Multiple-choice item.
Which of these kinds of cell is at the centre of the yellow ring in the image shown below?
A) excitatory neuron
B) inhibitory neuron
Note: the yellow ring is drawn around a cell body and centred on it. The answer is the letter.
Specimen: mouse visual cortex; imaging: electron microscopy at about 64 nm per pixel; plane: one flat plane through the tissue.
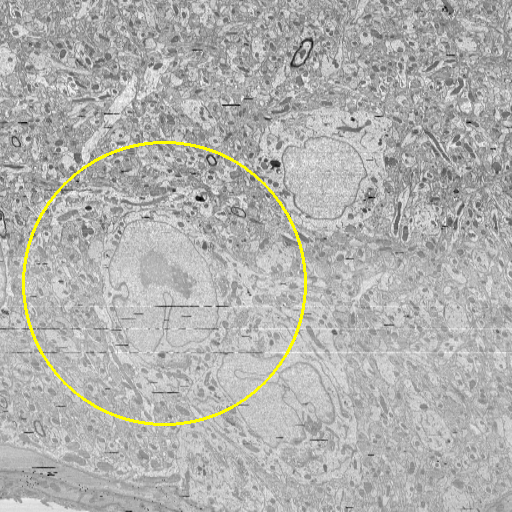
B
